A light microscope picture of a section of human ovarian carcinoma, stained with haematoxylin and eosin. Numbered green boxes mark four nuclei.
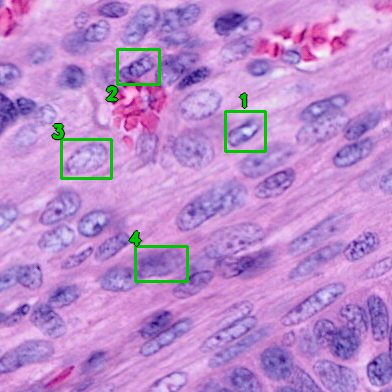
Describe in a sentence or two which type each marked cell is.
Cells 1, 3 and 4 are fibroblasts. Cell 2 is an endothelial cell.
